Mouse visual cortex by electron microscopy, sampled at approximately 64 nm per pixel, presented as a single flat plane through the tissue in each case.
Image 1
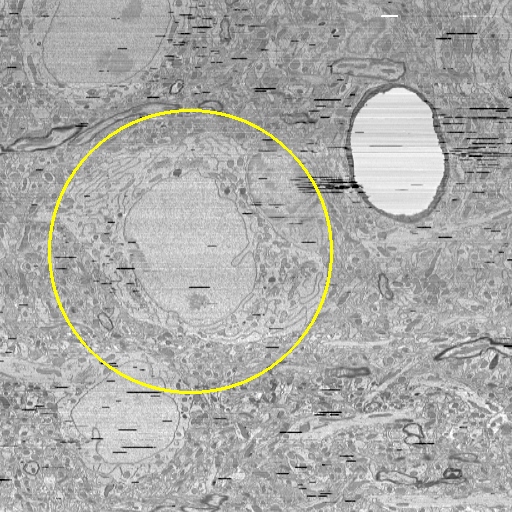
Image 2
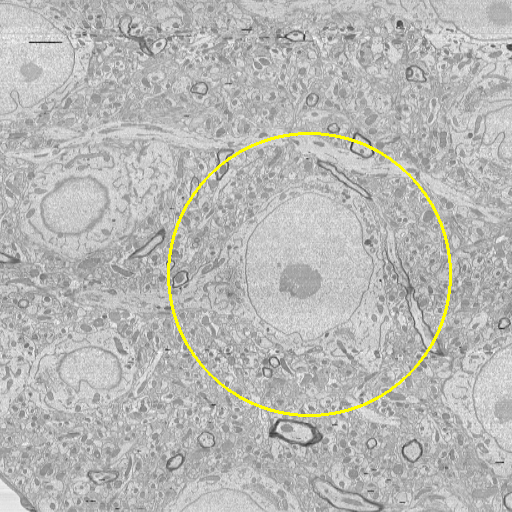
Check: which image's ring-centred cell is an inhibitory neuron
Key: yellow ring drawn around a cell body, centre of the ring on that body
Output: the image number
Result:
1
